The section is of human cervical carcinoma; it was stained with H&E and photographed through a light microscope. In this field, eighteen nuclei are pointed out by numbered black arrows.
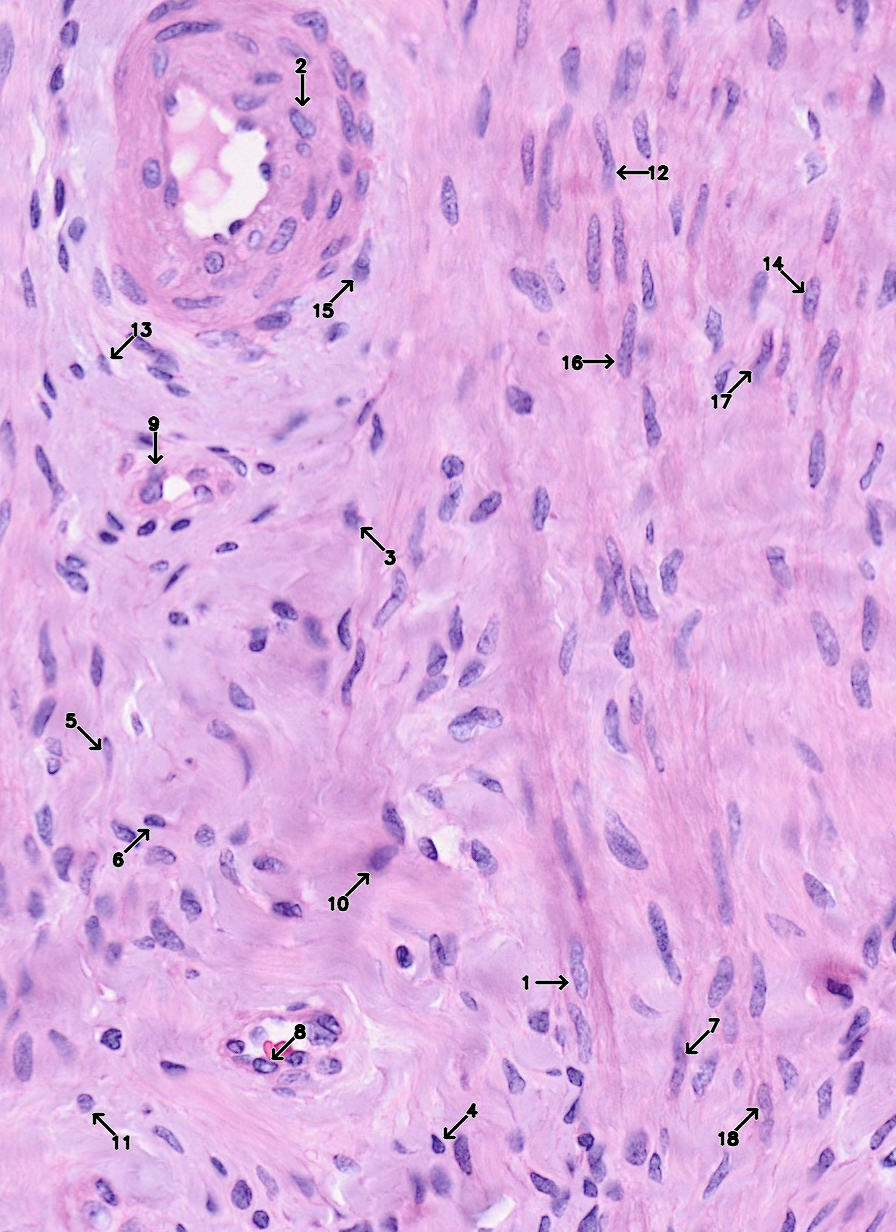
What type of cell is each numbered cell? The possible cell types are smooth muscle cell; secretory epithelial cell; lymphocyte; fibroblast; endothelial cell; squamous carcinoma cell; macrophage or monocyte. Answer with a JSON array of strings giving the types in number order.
["smooth muscle cell", "smooth muscle cell", "fibroblast", "fibroblast", "fibroblast", "fibroblast", "smooth muscle cell", "endothelial cell", "endothelial cell", "fibroblast", "fibroblast", "smooth muscle cell", "fibroblast", "smooth muscle cell", "fibroblast", "smooth muscle cell", "smooth muscle cell", "smooth muscle cell"]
